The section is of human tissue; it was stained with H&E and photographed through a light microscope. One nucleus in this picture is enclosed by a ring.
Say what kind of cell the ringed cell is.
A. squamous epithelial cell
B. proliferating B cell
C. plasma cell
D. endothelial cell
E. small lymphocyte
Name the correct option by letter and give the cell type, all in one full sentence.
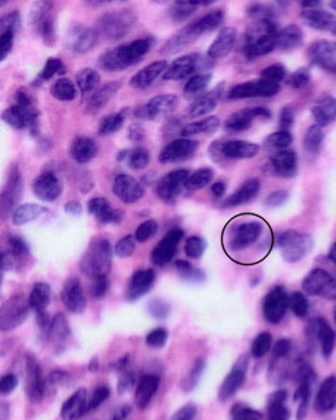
Option B describes the ringed cell accurately as a proliferating B cell.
